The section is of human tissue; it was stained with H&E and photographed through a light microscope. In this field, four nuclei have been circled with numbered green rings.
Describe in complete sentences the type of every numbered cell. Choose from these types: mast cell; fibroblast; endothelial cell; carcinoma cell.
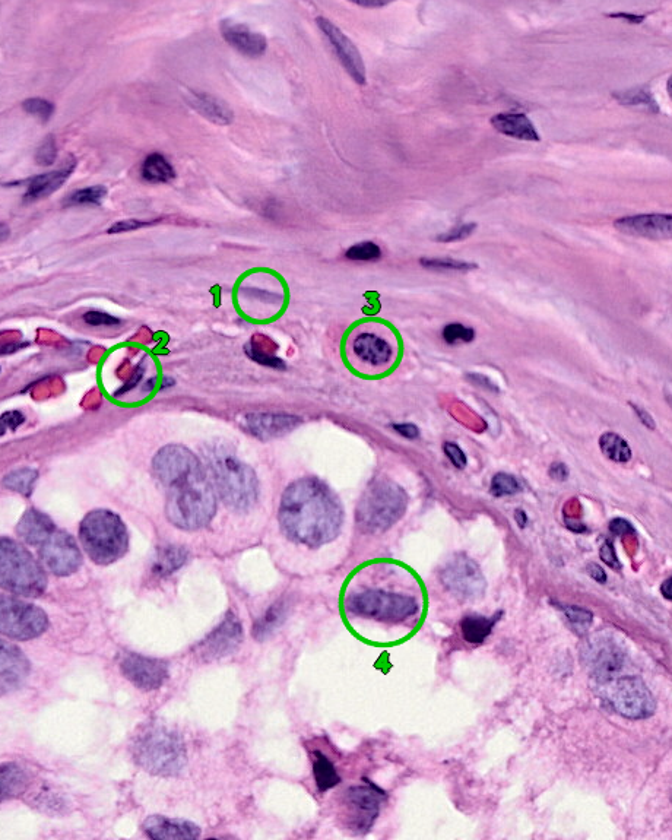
Cell 1 is a fibroblast, cell 2 is an endothelial cell, cell 3 is a mast cell and cell 4 is a carcinoma cell.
